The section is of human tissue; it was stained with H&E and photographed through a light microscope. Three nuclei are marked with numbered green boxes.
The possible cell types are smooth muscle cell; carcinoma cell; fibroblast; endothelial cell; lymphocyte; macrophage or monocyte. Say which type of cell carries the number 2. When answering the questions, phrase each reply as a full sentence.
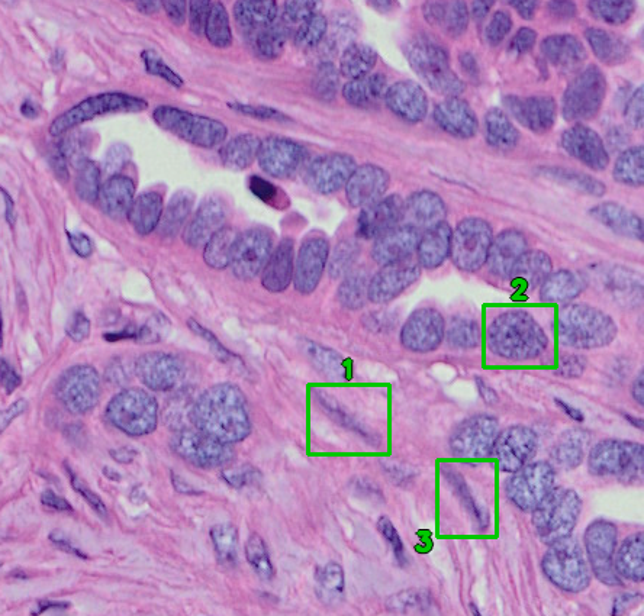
The cell pointed out by number 2 is a carcinoma cell.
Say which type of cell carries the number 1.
In this section, the cell tagged 1 is a fibroblast.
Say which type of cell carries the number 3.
Belonging to a fibroblast is the nucleus that carries the number 3.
